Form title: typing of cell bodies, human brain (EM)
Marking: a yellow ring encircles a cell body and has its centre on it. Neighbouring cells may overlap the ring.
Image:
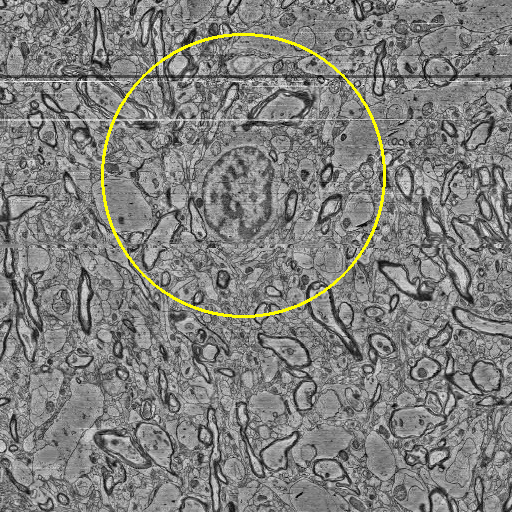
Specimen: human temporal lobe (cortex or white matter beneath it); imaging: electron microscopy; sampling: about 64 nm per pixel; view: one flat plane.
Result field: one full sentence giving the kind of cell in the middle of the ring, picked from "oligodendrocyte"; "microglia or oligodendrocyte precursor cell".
In the picture, the ring is centred on an oligodendrocyte, whose cell body it encircles.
